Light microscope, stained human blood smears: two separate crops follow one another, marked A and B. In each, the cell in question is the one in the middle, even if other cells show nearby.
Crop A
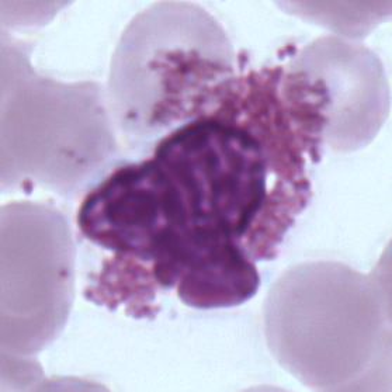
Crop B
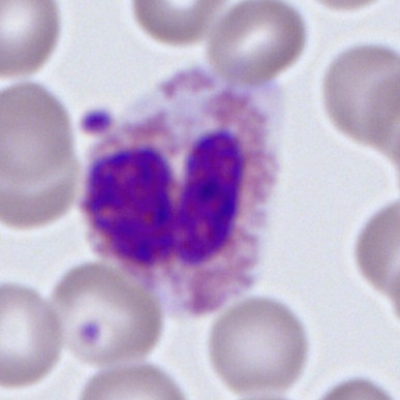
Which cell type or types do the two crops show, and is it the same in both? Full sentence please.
Yes, in the two crops, eosinophils are the cells at the centre.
